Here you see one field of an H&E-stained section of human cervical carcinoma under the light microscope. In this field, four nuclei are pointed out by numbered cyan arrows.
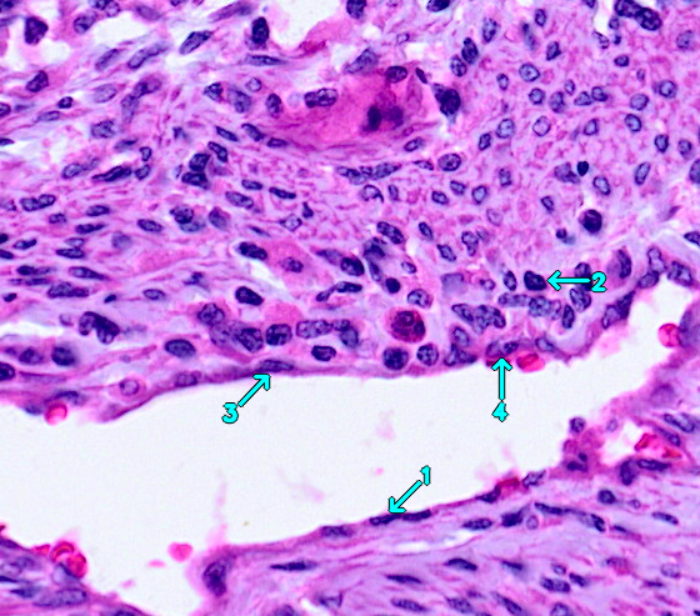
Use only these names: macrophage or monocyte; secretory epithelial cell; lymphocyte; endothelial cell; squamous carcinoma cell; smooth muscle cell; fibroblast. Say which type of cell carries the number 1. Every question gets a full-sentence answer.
The cell tagged with 1 in this tissue section is an endothelial cell.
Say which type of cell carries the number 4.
The numbered cell 4 is identified here as an endothelial cell.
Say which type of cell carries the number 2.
Identified by the number 2, the cell is a lymphocyte.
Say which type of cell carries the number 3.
In the tissue shown, cell 3 is an endothelial cell.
